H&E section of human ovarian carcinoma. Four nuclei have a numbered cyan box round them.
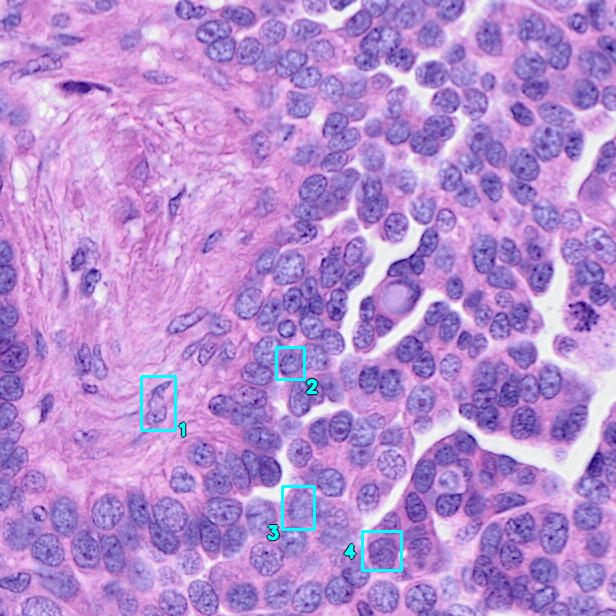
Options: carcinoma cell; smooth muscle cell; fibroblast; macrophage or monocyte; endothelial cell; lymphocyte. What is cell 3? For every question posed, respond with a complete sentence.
Among the marked cells, number 3 is a carcinoma cell.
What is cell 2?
The nucleus labelled 2 belongs to a carcinoma cell.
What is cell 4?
The marked cell bearing number 4 is a carcinoma cell.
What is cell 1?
The cell bearing label 1 corresponds to a fibroblast.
